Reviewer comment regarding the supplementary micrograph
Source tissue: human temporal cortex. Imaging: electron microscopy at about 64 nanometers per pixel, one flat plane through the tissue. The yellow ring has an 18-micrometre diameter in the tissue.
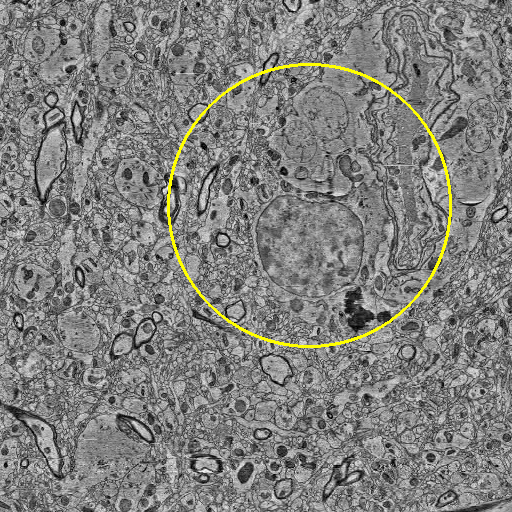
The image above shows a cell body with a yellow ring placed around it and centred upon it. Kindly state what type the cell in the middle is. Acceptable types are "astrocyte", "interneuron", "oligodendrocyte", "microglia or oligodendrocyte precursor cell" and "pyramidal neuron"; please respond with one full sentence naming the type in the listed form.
In the image above, the cell on which the yellow ring is centred is an oligodendrocyte.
